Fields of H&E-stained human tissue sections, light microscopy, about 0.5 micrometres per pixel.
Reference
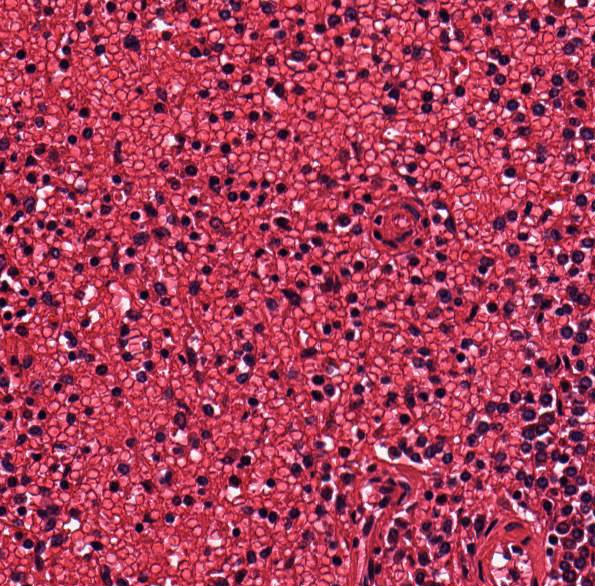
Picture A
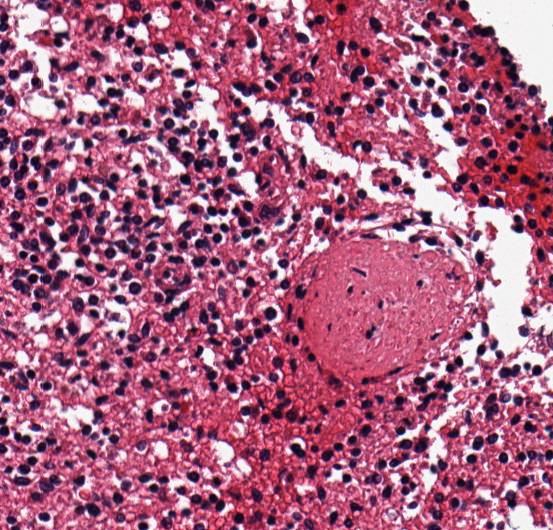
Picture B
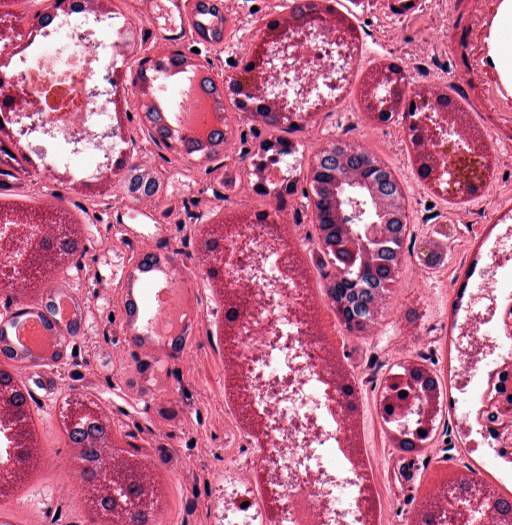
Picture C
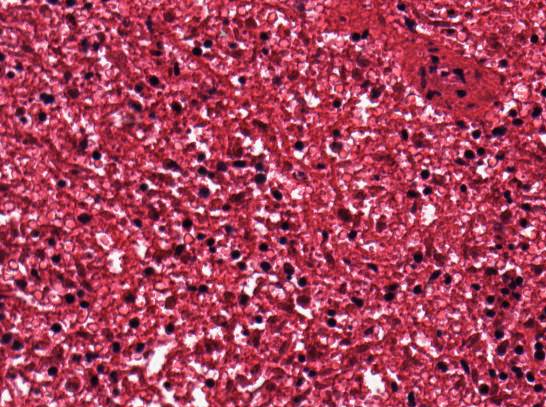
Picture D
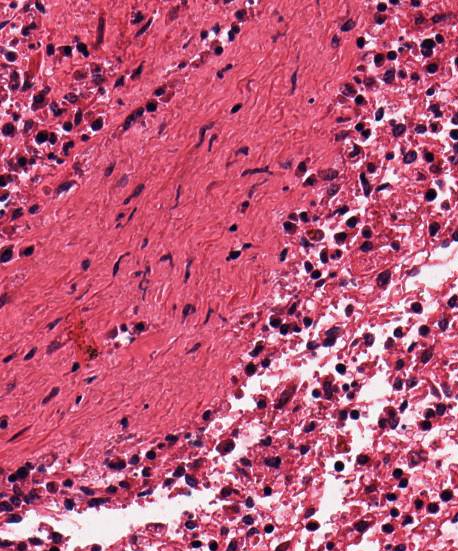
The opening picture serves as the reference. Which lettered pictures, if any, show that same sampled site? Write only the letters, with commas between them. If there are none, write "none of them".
A, C, D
